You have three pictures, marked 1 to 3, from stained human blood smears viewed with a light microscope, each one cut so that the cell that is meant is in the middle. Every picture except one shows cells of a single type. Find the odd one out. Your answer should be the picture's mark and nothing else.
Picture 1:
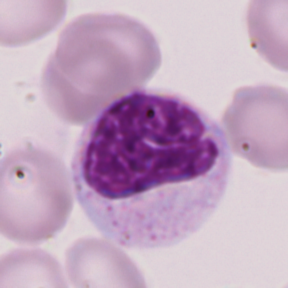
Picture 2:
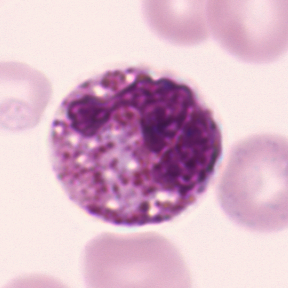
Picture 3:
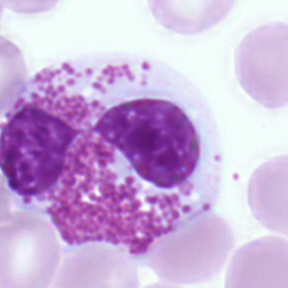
1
